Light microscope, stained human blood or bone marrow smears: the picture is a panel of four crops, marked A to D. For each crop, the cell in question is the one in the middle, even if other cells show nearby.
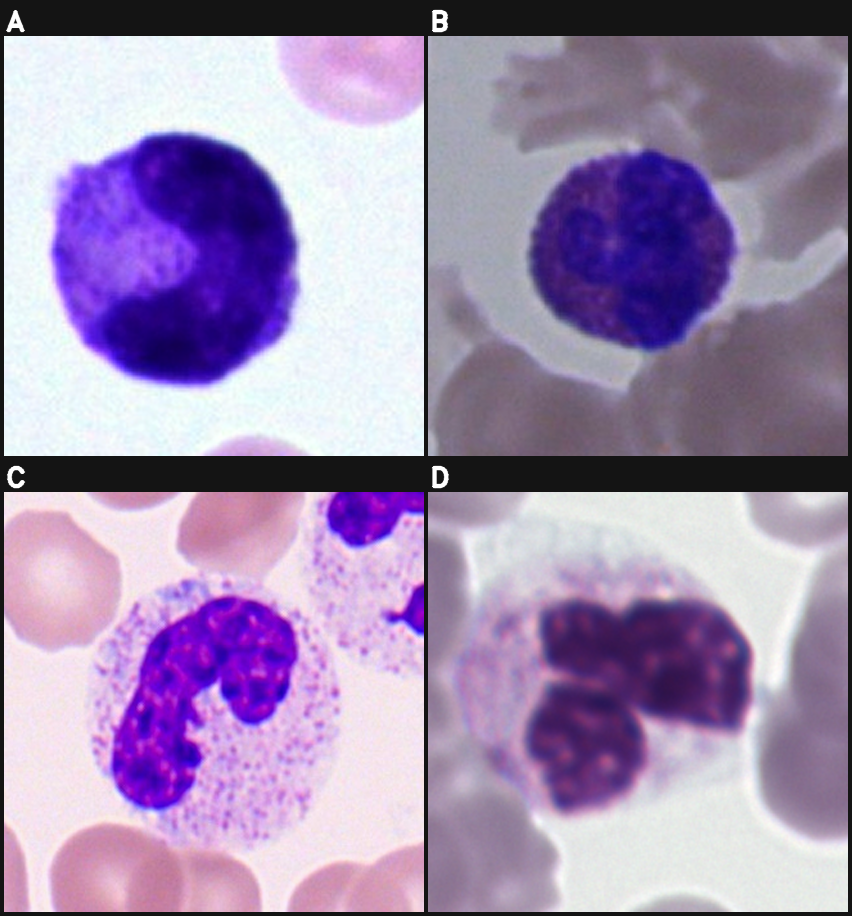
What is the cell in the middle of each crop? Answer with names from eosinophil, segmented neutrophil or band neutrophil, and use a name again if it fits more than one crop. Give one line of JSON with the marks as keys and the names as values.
{"A": "band neutrophil", "B": "eosinophil", "C": "band neutrophil", "D": "segmented neutrophil"}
